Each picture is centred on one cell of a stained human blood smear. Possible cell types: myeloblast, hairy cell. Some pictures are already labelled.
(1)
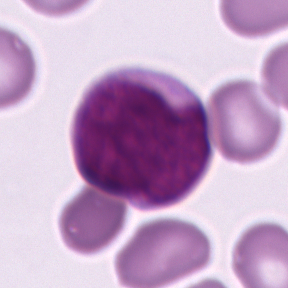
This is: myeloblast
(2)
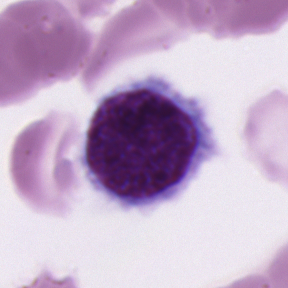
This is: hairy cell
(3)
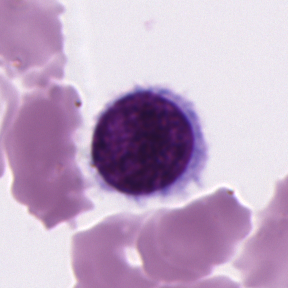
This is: hairy cell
